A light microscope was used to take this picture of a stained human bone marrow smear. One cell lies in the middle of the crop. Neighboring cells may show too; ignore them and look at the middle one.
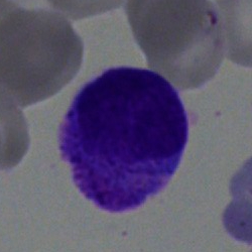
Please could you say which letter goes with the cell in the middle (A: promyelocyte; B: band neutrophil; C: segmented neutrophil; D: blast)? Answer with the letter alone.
D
